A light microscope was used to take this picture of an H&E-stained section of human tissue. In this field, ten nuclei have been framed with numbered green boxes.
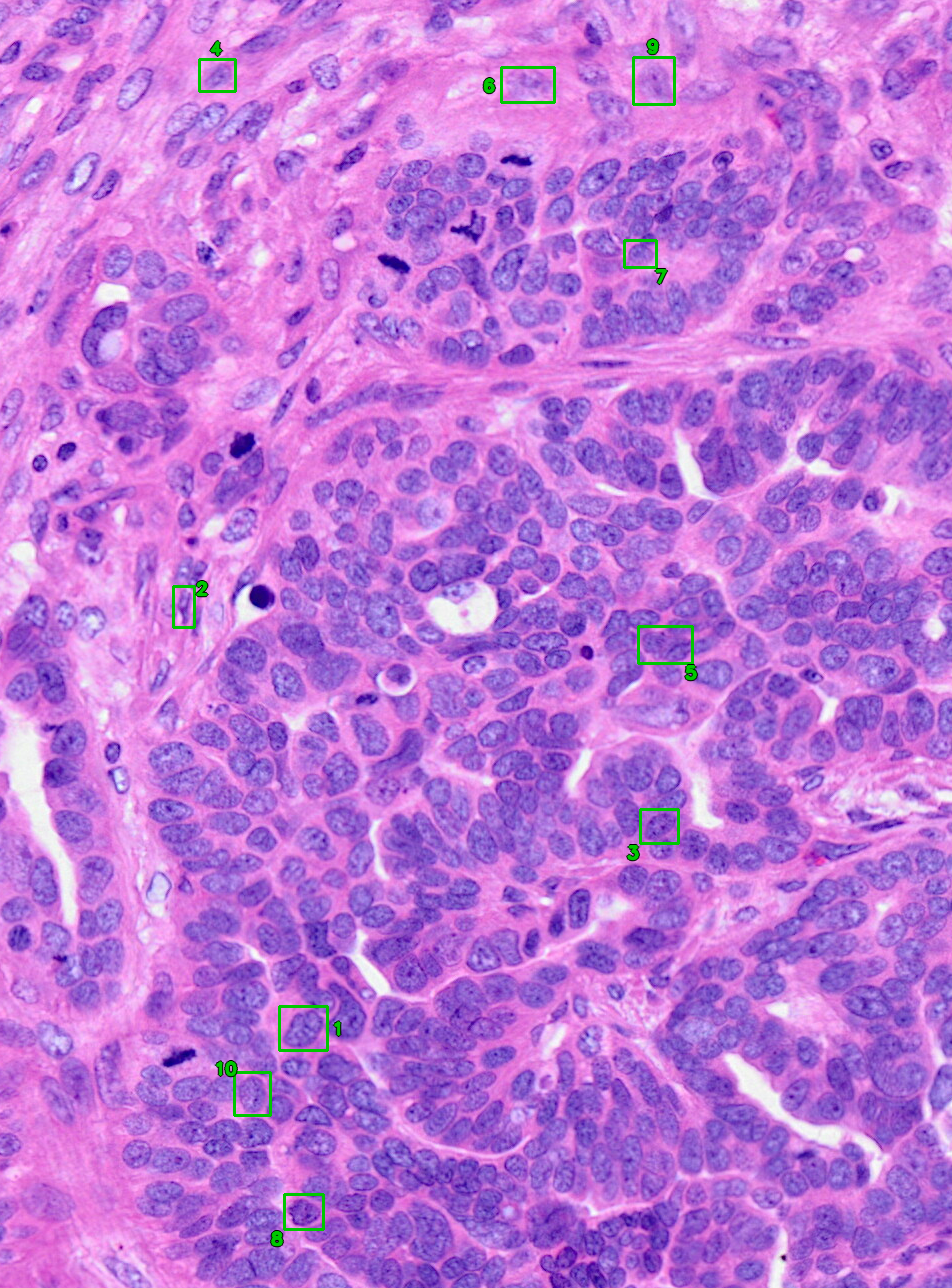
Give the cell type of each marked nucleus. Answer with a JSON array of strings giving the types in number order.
["carcinoma cell", "fibroblast", "carcinoma cell", "fibroblast", "carcinoma cell", "fibroblast", "carcinoma cell", "carcinoma cell", "fibroblast", "carcinoma cell"]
